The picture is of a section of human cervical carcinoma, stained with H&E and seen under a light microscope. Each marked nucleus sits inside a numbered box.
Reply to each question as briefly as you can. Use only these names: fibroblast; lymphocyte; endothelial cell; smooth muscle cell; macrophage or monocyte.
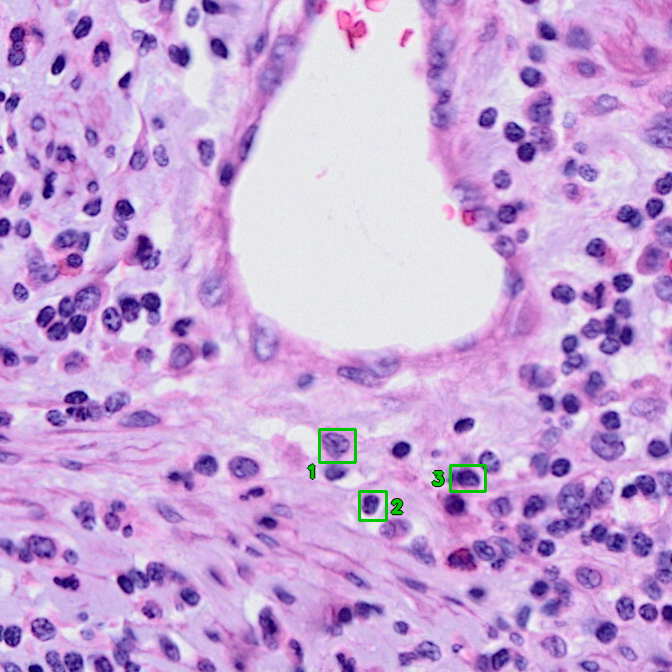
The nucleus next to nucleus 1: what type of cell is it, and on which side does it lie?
a lymphocyte below nucleus 1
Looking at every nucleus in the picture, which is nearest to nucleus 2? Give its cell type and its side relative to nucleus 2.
a macrophage or monocyte; below and to the right of nucleus 2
